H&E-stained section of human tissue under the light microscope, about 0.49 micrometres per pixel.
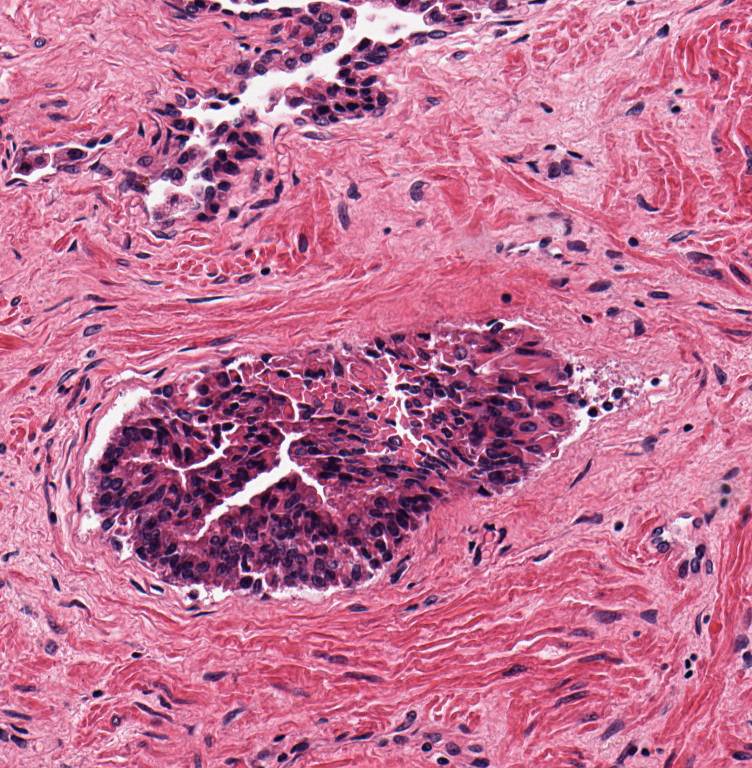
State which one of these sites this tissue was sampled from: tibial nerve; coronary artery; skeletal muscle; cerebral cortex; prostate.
prostate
